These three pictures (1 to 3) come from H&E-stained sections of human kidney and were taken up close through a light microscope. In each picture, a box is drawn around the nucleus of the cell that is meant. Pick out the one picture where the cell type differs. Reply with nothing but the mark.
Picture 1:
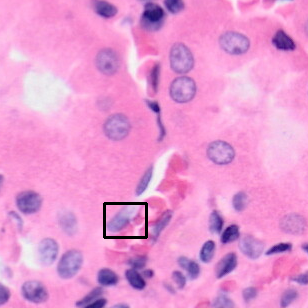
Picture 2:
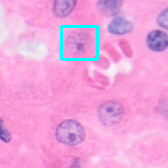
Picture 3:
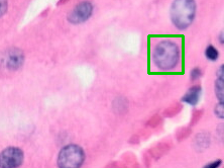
1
